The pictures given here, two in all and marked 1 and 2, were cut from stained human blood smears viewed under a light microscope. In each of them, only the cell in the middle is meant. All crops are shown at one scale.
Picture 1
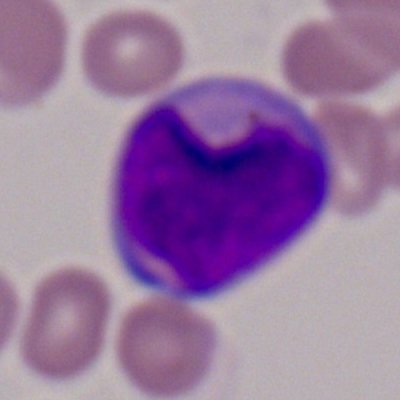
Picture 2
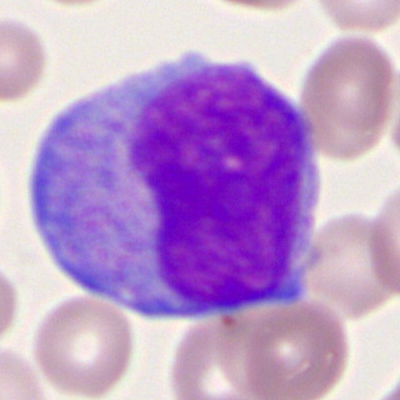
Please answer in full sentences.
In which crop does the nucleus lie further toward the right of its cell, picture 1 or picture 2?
The nucleus in picture 2 lies further toward the right of its cell.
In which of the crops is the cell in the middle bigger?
Larger is the cell in picture 2, at roughly 1.5 times the area of the other.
